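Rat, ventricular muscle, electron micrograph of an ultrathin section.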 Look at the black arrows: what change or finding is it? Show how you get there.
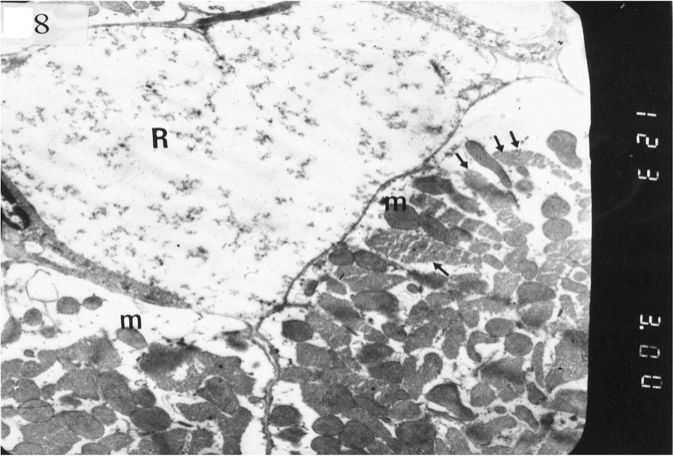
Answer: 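The arrows point to thin, faintly striated bands lying between the dark oval organelles. These striated bands are sparse and pale rather than forming tightly packed bundles.
Rarefied myofibrils.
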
